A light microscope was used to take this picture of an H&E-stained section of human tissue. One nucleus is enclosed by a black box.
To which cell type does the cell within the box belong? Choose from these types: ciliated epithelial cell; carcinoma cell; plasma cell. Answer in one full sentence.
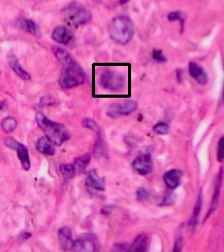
Labelled by cell type, the cell within the box is a plasma cell.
